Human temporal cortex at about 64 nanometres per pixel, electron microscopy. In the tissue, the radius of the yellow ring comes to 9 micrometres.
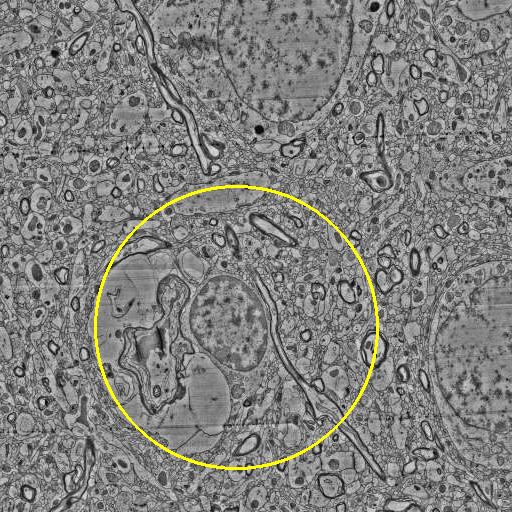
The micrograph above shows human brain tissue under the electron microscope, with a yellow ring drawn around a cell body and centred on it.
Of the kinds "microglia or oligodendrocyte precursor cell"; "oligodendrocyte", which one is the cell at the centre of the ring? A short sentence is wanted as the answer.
The one at the centre of the ring is an oligodendrocyte.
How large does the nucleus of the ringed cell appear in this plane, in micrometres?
In this plane, the nucleus is roughly 6 by 5 micrometres.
